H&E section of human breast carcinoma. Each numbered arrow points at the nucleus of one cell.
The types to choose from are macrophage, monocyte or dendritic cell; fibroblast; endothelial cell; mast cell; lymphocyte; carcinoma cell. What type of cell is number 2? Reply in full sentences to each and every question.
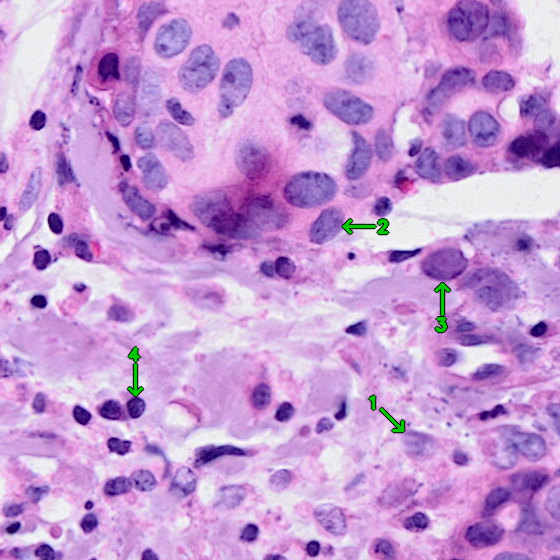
The cell whose nucleus carries the number 2 is a carcinoma cell.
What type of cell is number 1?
The label 1 in this section denotes a fibroblast.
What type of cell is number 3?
The cell marked with the number 3 is a carcinoma cell.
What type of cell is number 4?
The cell indicated by marker 4 is a lymphocyte in this section.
